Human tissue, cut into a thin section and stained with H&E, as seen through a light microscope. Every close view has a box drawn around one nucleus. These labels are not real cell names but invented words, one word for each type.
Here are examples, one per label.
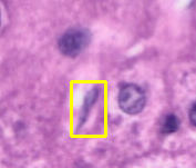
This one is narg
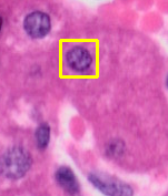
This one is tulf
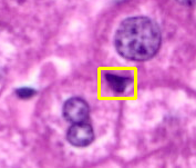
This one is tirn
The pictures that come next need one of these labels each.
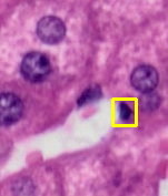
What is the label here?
tirn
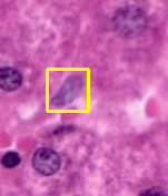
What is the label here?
narg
